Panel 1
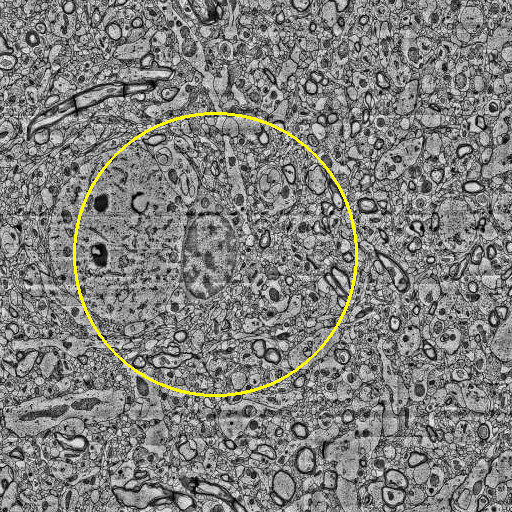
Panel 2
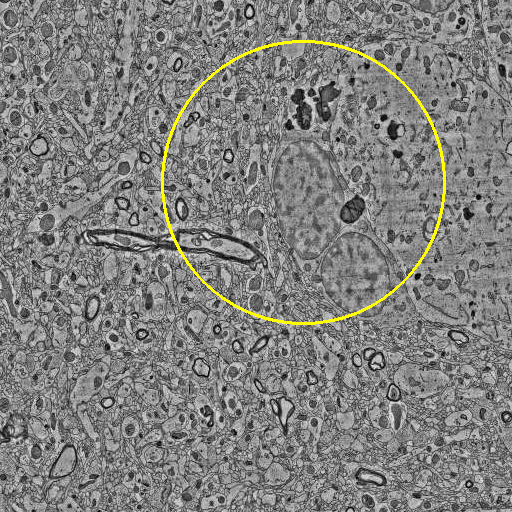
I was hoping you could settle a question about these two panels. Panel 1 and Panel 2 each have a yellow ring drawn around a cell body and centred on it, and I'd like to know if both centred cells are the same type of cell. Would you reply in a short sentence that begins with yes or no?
Yes, both are the same type of cell.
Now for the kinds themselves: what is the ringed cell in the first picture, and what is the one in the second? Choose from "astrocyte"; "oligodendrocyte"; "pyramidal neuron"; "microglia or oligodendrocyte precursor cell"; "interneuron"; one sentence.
Each of the two cells is an oligodendrocyte.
